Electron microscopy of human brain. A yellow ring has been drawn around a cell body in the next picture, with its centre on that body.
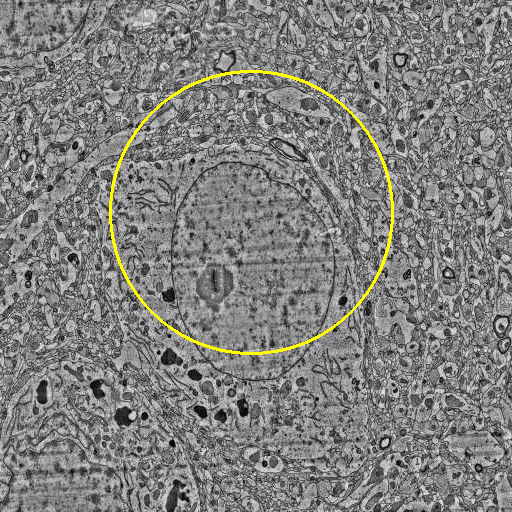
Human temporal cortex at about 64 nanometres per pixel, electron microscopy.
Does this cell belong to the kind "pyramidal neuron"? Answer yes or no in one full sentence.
Yes, the ringed cell in this picture, sitting at the ring's centre, is of that kind.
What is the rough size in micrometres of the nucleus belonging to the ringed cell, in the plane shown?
In this plane the nucleus spans approximately 14 by 11 micrometers.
